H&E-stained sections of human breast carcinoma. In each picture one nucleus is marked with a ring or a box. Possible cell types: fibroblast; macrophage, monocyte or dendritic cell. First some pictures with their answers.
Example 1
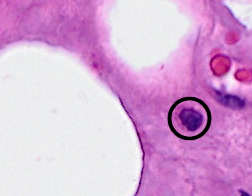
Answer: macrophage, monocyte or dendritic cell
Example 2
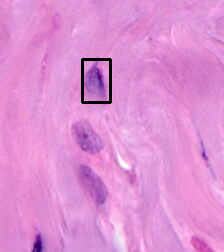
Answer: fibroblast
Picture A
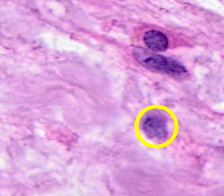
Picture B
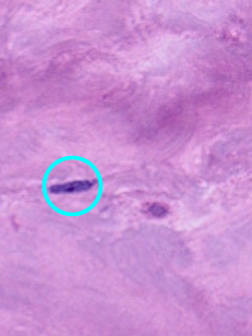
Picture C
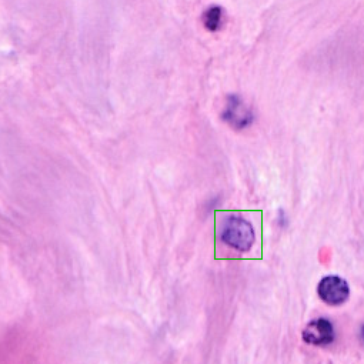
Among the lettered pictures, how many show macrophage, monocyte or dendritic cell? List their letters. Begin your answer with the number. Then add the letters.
Count: 2 (A, C)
